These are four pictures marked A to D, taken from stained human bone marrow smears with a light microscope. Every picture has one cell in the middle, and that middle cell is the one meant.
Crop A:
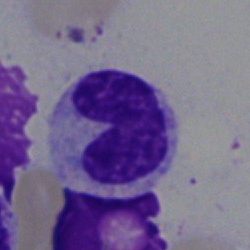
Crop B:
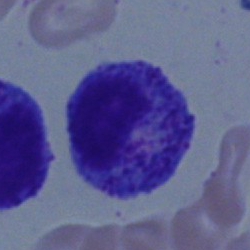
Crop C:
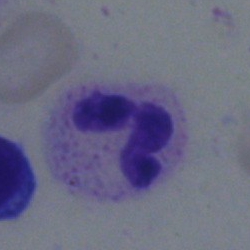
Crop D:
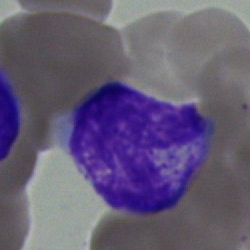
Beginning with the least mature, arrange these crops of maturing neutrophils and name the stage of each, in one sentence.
The right order here, from least to most mature, is crop B (a myelocyte), crop D (a metamyelocyte), crop A (a band neutrophil) and crop C (a segmented neutrophil).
